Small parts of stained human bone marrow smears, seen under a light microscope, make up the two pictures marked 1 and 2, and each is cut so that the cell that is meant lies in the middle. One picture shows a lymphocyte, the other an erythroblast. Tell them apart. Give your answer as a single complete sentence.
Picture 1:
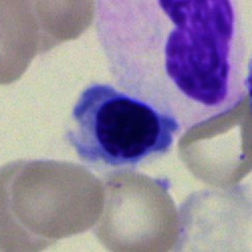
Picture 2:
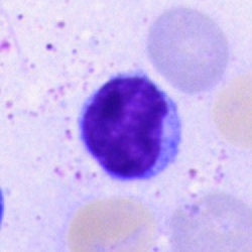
Picture 1 is of an erythroblast, and picture 2 is of a lymphocyte.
